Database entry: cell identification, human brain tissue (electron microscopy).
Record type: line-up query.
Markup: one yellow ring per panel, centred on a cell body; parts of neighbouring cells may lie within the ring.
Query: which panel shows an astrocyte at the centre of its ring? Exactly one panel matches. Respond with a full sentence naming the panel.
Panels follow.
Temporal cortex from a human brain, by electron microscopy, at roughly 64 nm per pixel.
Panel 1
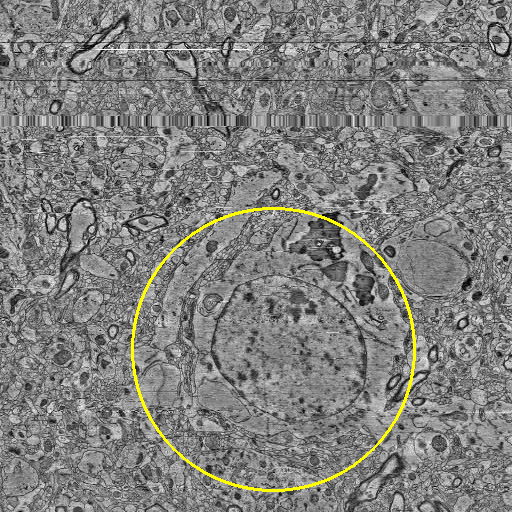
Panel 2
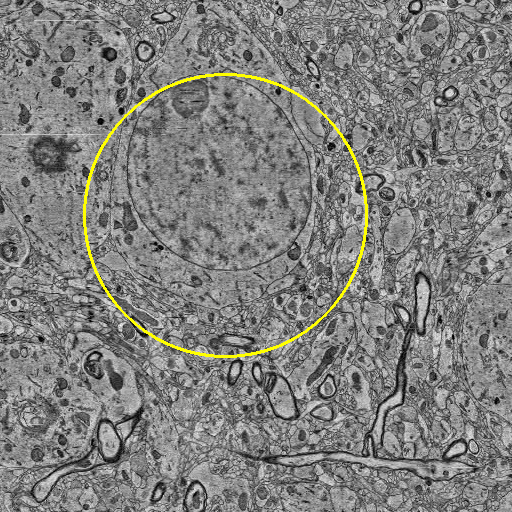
Panel 1 shows it at the centre of the ring.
